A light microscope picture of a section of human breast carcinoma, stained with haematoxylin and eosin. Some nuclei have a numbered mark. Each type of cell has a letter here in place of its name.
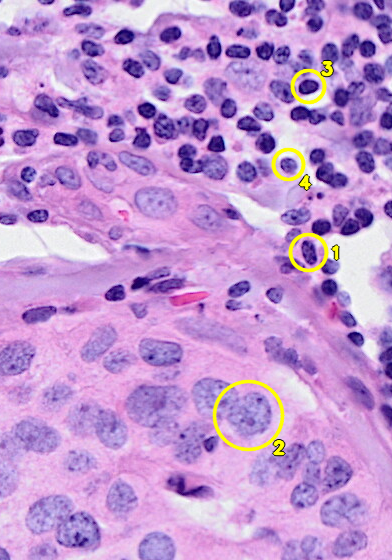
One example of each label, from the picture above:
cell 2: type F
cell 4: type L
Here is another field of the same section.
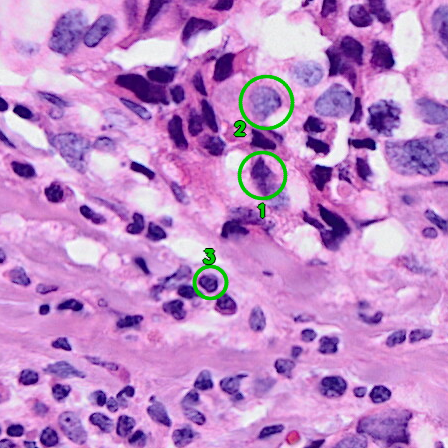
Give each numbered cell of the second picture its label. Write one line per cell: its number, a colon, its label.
1: type F
2: type F
3: type L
